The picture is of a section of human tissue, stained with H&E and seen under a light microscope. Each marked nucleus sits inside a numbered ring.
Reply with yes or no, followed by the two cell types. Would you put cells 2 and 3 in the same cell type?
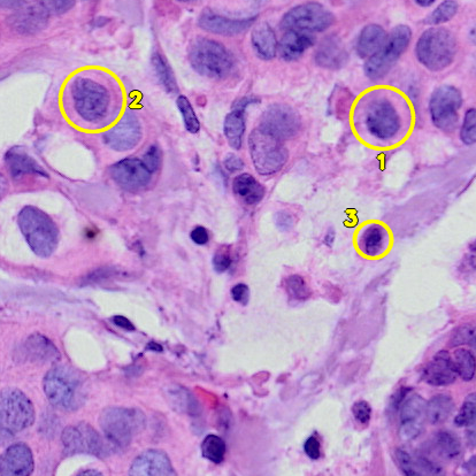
No, classify cell 2 as a carcinoma cell and cell 3 as a mast cell.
